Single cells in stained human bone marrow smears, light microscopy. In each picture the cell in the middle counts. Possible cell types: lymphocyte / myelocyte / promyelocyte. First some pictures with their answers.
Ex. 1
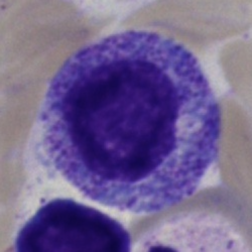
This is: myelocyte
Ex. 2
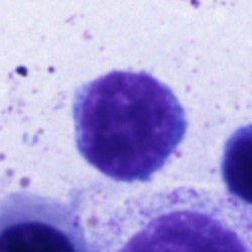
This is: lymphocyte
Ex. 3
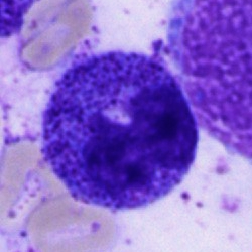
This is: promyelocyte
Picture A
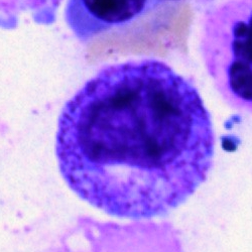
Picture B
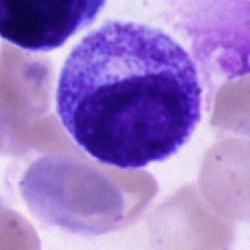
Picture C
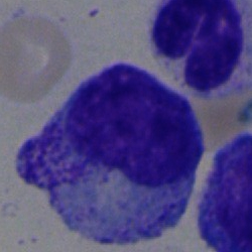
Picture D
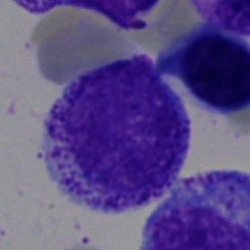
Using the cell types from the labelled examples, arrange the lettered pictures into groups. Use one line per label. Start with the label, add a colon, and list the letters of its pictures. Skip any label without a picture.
myelocyte: B, C, D
promyelocyte: A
